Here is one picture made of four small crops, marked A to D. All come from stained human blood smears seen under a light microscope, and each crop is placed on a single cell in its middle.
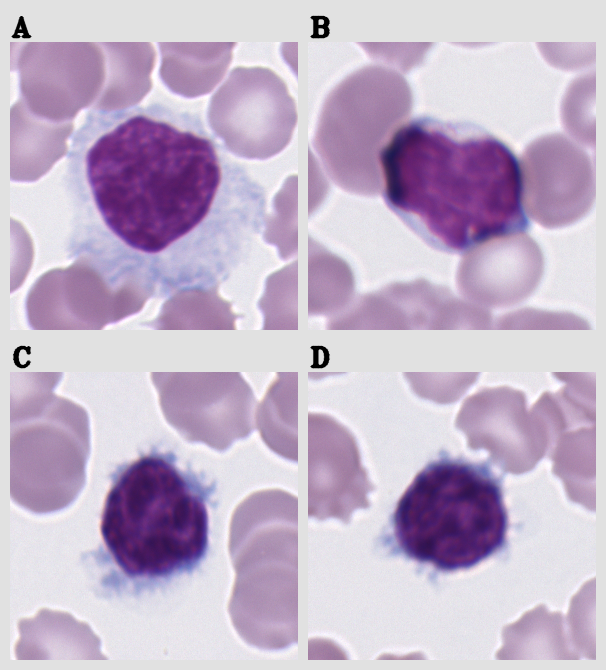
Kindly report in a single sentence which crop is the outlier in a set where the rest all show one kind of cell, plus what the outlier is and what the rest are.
Seen in crop B is a large granular lymphocyte, and seen in all other crops are hairy cells.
